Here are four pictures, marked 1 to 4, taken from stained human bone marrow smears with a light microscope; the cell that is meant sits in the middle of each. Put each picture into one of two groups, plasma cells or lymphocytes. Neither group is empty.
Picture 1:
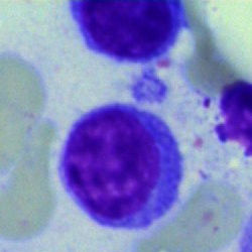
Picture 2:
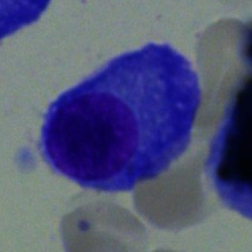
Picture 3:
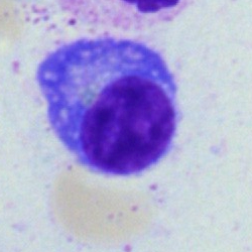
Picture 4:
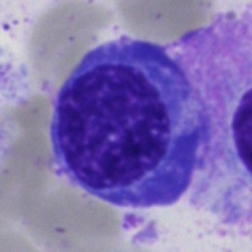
1: lymphocyte
2: plasma cell
3: plasma cell
4: plasma cell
